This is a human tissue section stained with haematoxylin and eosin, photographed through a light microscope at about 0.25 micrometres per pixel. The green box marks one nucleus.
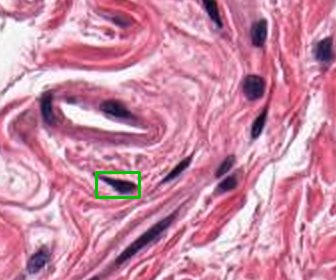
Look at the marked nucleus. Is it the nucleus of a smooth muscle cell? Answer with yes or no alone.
no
